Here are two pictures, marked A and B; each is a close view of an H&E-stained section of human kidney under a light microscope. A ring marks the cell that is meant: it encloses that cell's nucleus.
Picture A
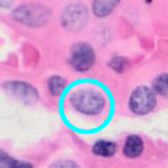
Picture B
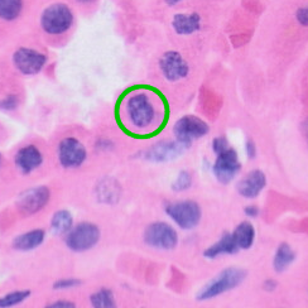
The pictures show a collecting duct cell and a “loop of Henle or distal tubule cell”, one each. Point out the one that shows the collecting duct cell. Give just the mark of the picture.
A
